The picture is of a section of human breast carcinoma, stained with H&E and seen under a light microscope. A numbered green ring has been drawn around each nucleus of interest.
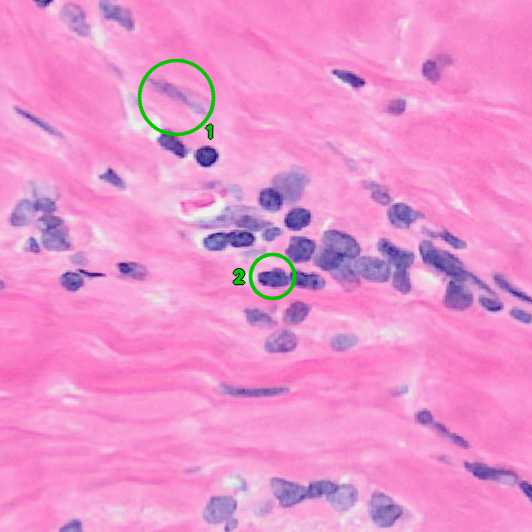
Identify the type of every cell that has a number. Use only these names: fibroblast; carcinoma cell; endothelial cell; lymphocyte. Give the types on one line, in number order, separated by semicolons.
fibroblast; lymphocyte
